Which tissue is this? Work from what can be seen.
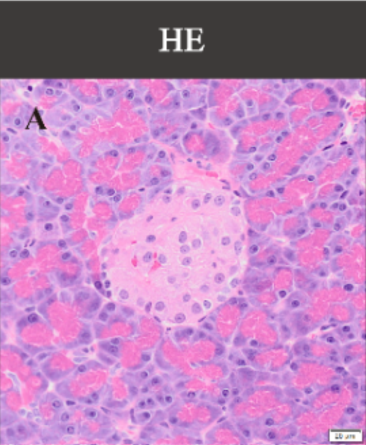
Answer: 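A round pale cluster of cells sits among darker glandular acini. The acinar cells have deep pink granular apical cytoplasm. That points to this answer: pancreatic tissue.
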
